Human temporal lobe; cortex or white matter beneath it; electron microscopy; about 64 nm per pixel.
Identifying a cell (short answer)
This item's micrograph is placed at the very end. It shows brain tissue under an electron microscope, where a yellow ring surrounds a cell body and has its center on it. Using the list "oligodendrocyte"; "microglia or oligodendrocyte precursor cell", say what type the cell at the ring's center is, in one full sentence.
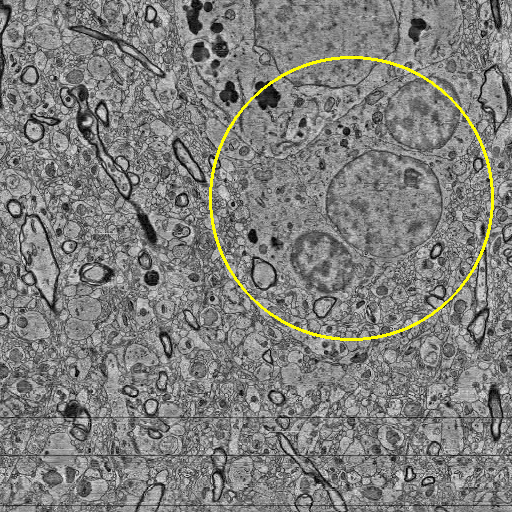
This picture shows an oligodendrocyte at the center of the yellow ring drawn on it.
